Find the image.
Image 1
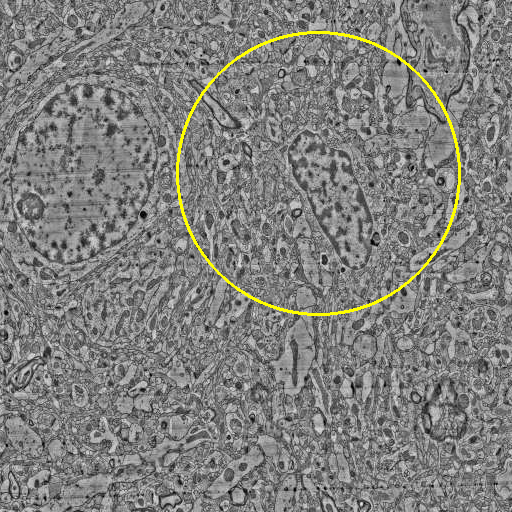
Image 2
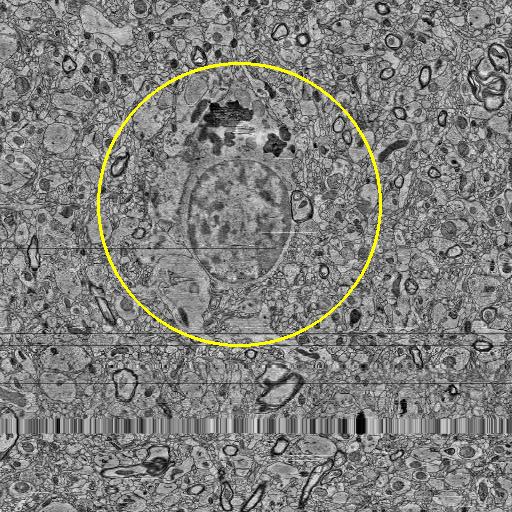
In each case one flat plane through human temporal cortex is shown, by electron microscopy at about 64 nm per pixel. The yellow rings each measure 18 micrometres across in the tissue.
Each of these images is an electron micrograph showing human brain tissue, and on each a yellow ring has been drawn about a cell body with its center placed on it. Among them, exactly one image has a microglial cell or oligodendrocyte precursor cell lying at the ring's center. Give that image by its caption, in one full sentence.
The ring in Image 1 is centered on the cell the question describes.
